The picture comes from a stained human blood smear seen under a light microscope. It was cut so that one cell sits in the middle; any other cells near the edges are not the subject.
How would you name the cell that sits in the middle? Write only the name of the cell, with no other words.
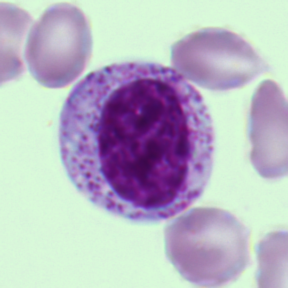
metamyelocyte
